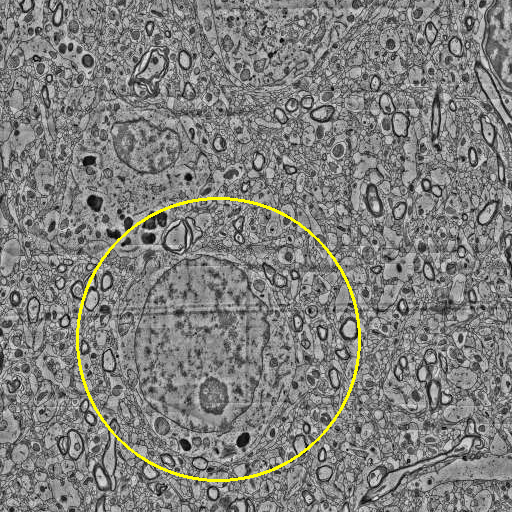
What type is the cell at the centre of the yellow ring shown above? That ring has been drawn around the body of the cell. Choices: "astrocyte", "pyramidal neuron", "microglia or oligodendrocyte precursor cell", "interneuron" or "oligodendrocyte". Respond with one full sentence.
My answer is that a pyramidal neuron lies at the centre of the yellow ring above.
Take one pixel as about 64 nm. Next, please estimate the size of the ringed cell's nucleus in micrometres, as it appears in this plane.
In this plane the nucleus measures roughly 11 by 9 micrometres.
